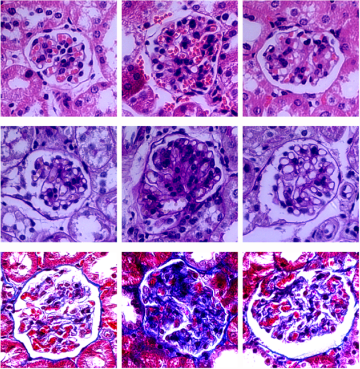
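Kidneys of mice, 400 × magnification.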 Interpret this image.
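In the top row the tissue is pink with blue-purple nuclei; in the middle row magenta material outlines capillary loops and the capsule; in the bottom row blue fibrillar material lines the capsule and extends into the tuft, while tubular cytoplasm is red. Some tufts appear larger, more cellular and richer in stained matrix than others.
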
